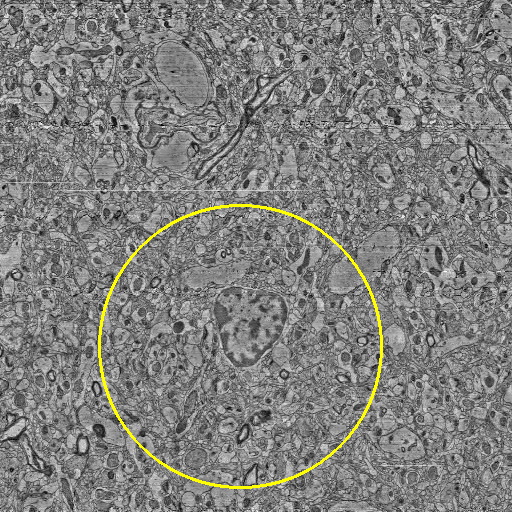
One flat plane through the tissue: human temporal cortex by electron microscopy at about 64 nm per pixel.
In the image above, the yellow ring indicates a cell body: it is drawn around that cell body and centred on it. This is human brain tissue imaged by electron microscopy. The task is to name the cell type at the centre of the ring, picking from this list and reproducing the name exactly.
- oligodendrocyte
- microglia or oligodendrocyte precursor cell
microglia or oligodendrocyte precursor cell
